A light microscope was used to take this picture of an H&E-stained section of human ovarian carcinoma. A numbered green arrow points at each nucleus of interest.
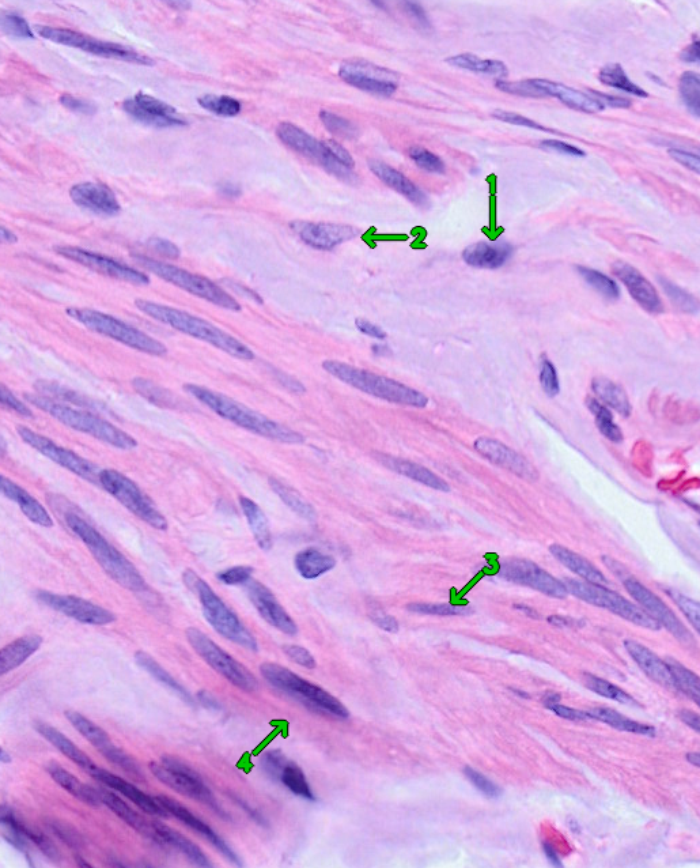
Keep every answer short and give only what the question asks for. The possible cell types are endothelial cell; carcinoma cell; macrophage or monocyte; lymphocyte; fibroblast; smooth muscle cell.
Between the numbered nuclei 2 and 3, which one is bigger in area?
2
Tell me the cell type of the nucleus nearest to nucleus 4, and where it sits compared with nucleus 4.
a smooth muscle cell above nucleus 4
